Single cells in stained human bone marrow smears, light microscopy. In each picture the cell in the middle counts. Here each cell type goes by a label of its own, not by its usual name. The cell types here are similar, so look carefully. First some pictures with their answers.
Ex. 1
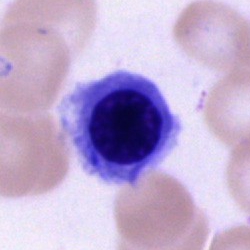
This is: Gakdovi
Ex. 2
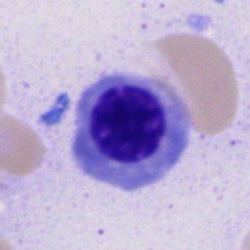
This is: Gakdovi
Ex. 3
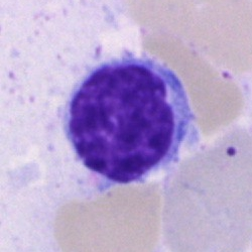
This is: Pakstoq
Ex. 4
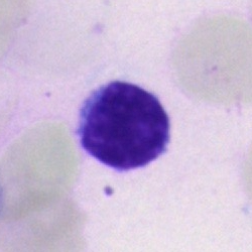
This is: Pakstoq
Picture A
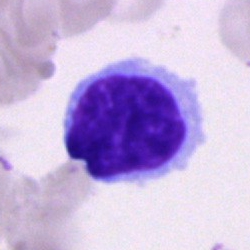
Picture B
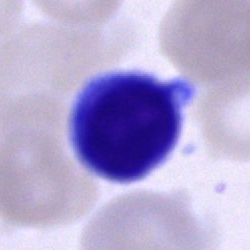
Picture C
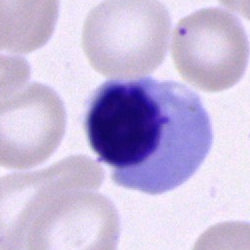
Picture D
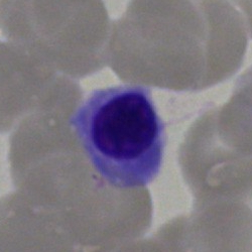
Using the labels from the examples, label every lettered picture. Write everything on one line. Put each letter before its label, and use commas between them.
A Pakstoq, B Pakstoq, C Gakdovi, D Gakdovi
